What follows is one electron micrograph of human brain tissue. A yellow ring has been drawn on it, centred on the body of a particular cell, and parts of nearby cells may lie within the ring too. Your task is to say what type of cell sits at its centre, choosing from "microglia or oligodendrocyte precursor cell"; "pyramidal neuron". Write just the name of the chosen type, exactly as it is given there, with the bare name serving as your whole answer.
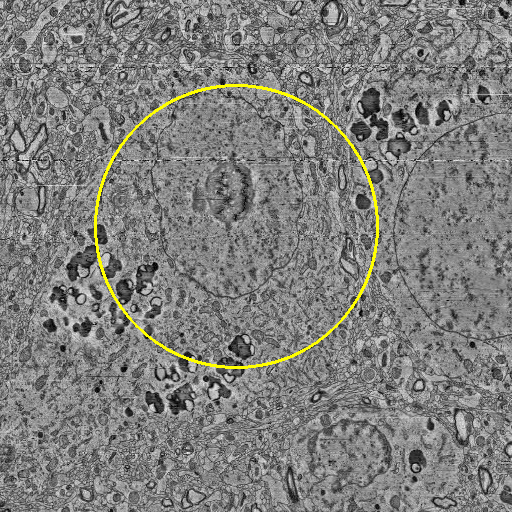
pyramidal neuron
